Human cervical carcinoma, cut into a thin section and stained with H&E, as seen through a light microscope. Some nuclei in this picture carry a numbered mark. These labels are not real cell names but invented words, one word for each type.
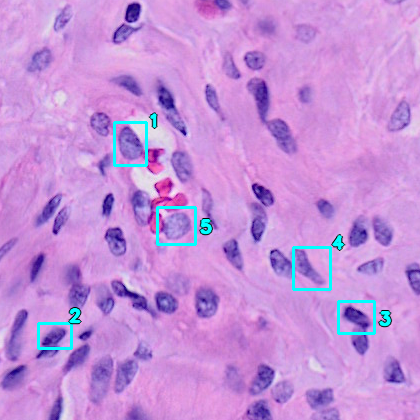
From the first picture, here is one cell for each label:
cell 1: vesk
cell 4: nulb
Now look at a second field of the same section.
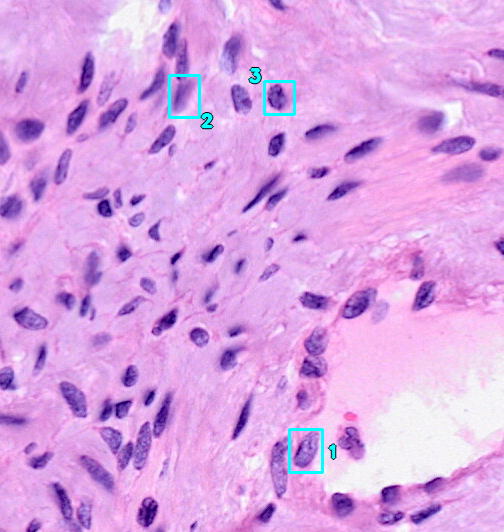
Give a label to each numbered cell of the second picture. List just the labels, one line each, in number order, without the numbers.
vesk
nulb
nulb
